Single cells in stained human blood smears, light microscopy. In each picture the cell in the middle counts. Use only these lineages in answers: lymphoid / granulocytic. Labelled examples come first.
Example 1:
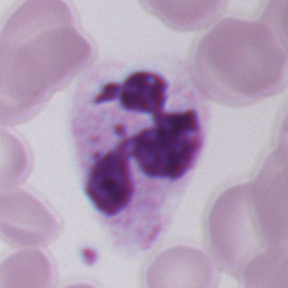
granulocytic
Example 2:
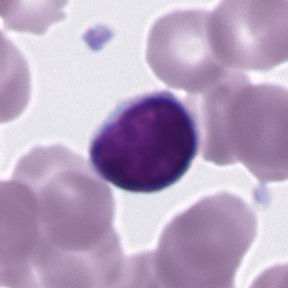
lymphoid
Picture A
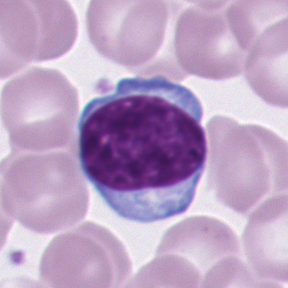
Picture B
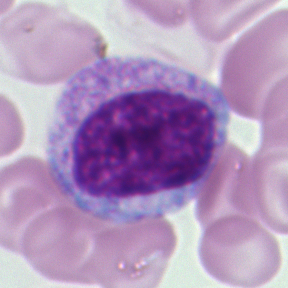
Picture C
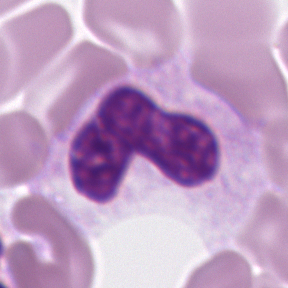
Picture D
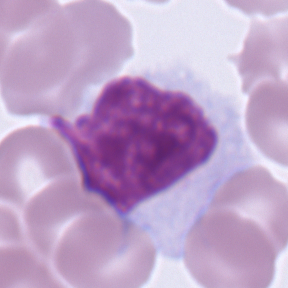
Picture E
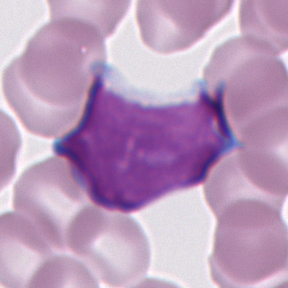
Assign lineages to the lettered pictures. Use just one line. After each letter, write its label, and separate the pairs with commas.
A lymphoid, B granulocytic, C granulocytic, D lymphoid, E lymphoid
